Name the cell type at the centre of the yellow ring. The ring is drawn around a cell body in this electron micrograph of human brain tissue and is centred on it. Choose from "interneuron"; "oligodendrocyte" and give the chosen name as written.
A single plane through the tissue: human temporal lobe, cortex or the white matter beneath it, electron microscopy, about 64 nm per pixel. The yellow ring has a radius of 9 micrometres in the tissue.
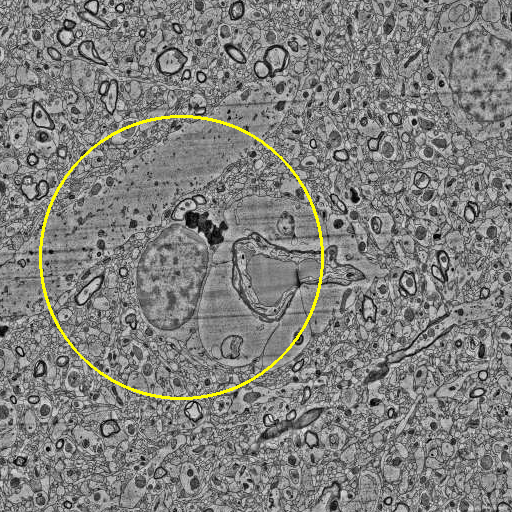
oligodendrocyte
